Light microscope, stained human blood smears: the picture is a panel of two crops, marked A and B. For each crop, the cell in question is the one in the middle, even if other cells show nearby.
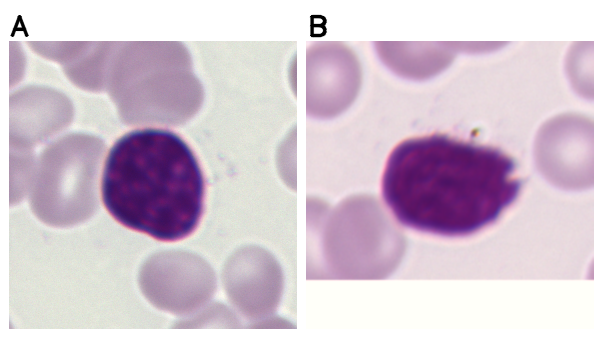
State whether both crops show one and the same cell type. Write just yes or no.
yes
